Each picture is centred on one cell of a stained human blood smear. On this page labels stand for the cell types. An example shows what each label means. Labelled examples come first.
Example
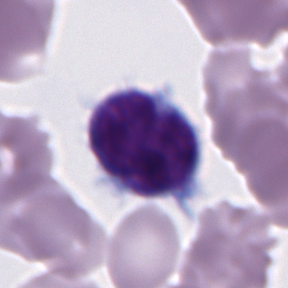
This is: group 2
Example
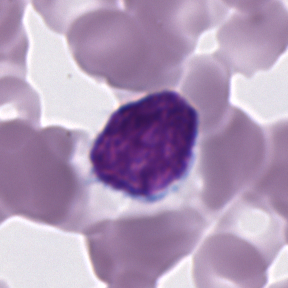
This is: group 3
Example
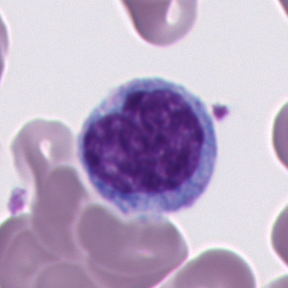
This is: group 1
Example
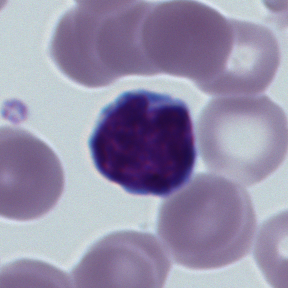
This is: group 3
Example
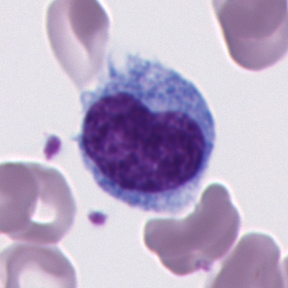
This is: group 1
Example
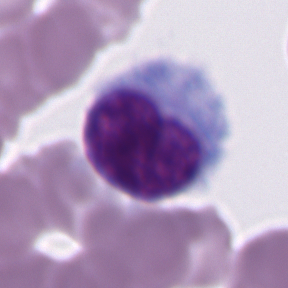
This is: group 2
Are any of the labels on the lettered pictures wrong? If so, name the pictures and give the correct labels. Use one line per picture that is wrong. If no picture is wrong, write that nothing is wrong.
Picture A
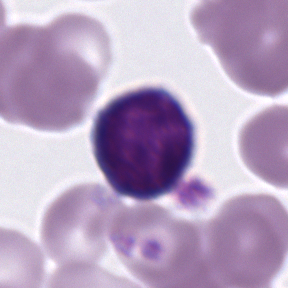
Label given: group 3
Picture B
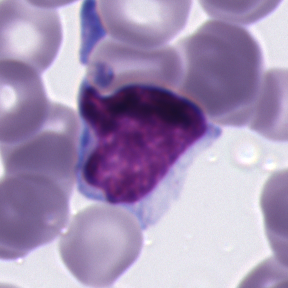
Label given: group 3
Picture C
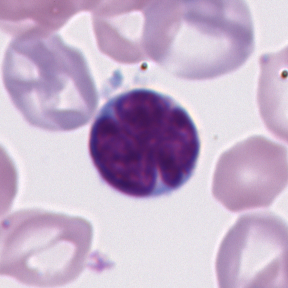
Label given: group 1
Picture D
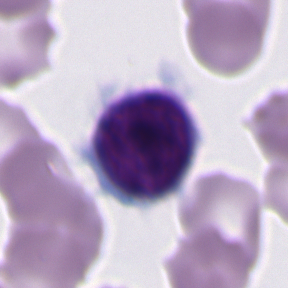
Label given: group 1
Wrong: C (group 1); correct: group 3
Wrong: D (group 1); correct: group 2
